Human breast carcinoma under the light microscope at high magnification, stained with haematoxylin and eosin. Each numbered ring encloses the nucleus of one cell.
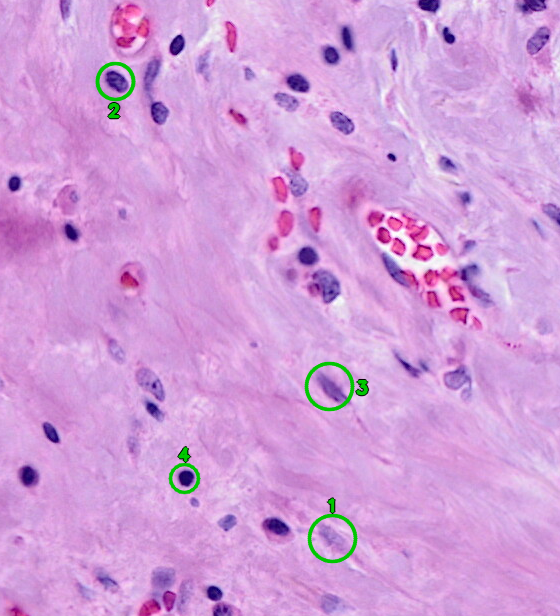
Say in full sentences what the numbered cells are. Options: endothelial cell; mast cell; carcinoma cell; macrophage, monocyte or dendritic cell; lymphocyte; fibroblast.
Cell 1 is a fibroblast, cell 2 is a lymphocyte, cell 3 is a fibroblast and cell 4 is a lymphocyte.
